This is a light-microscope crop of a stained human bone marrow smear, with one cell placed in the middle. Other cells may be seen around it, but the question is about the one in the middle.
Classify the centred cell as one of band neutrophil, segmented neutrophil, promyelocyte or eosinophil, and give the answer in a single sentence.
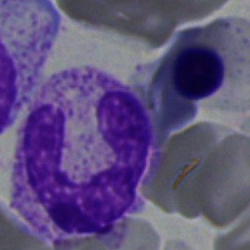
The middle of this crop is occupied by a band neutrophil.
